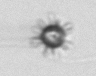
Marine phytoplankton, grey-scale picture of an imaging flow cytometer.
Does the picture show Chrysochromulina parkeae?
No, it shows Rhabdosphaera.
